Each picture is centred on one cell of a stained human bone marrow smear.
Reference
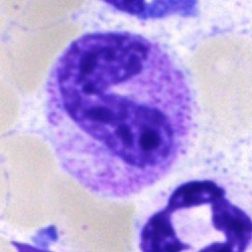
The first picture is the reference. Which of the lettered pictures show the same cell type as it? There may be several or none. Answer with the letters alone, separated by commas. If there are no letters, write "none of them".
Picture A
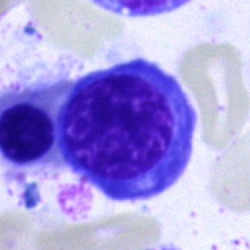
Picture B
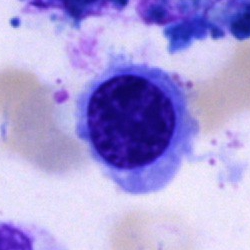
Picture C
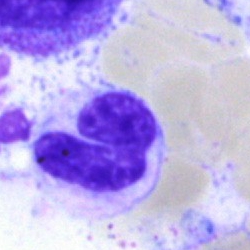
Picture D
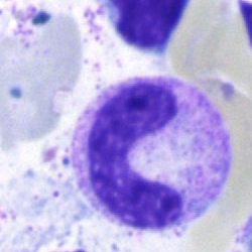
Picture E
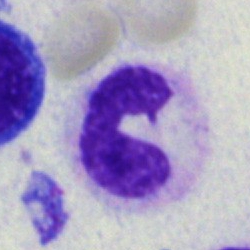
C, D, E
